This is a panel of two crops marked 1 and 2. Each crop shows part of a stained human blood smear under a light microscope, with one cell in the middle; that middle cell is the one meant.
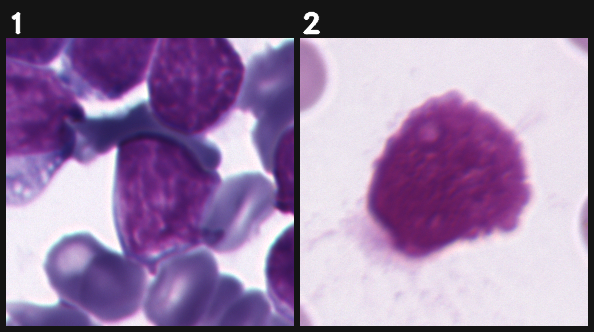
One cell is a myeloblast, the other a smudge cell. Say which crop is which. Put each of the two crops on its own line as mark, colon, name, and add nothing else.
1: myeloblast
2: smudge cell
